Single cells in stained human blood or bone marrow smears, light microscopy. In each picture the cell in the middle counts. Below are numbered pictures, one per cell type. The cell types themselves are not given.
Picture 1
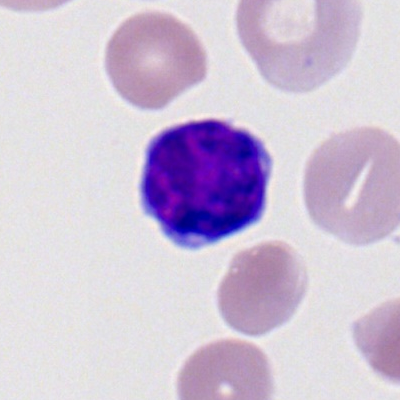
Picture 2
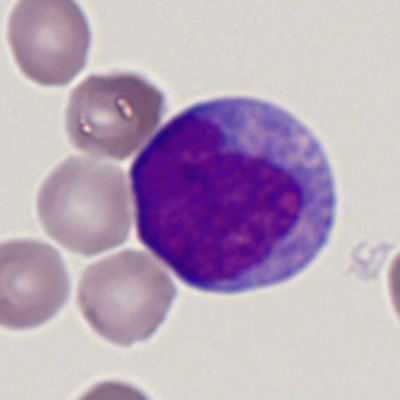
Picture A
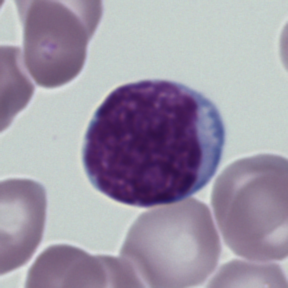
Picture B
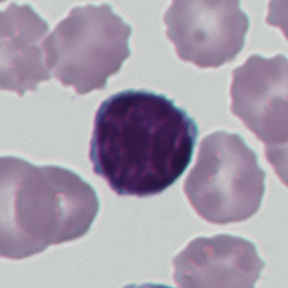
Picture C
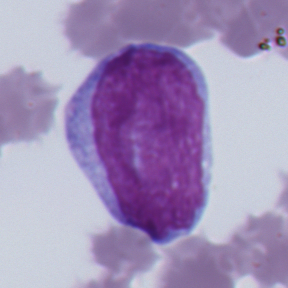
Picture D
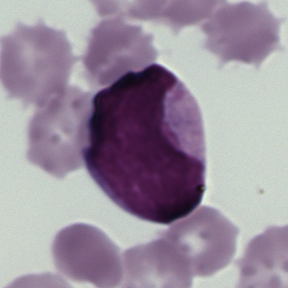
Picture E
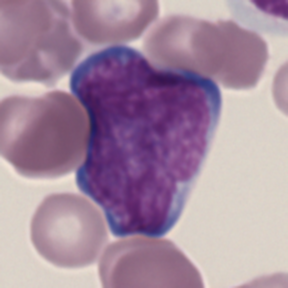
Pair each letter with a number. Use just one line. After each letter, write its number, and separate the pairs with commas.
A 2, B 1, C 2, D 2, E 2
